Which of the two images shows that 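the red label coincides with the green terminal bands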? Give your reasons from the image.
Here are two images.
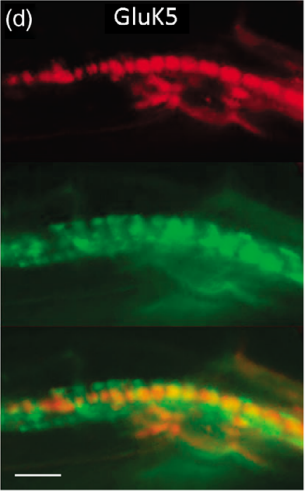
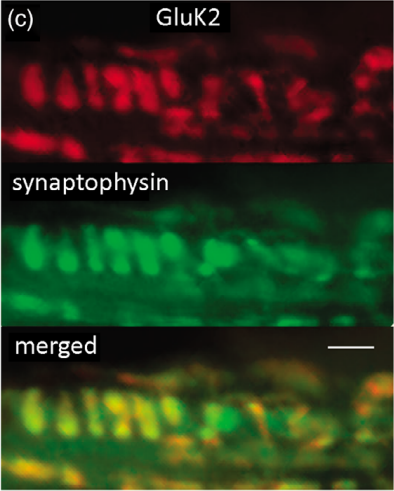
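Second image: red bands match the green bands and appear yellow in the merge.
Answer: the second image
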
